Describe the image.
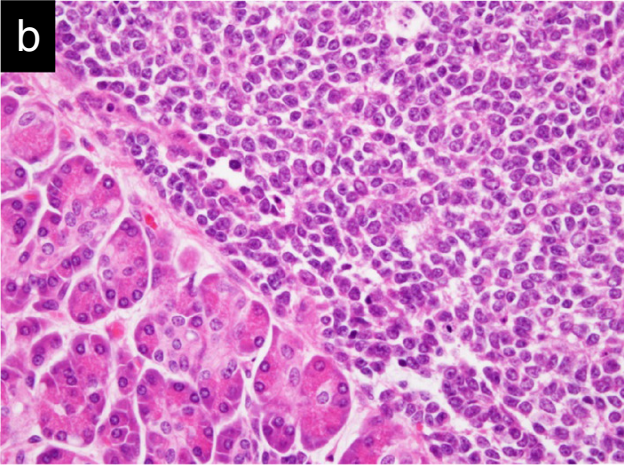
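The section shows a small round cell tumor growing in diffuse sheets next to pancreatic acinar tissue. The tumor cells are densely packed and uniform, with round to oval, dark purple nuclei and scant pale cytoplasm, so the nuclei nearly touch one another. A thin band of pink connective tissue runs diagonally and separates the tumor from the pancreas. At the lower left, acinar cells form small rounded glands and have abundant pink granular cytoplasm with basally placed round nuclei. The tumor cells lack any glandular arrangement.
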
